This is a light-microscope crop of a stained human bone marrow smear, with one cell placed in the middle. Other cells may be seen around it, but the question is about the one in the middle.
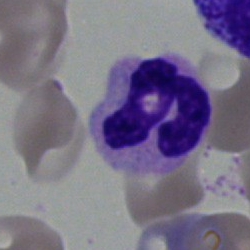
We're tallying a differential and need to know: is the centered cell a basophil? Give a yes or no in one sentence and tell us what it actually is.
No, the cell at the centre of the crop is a segmented neutrophil and not a basophil.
